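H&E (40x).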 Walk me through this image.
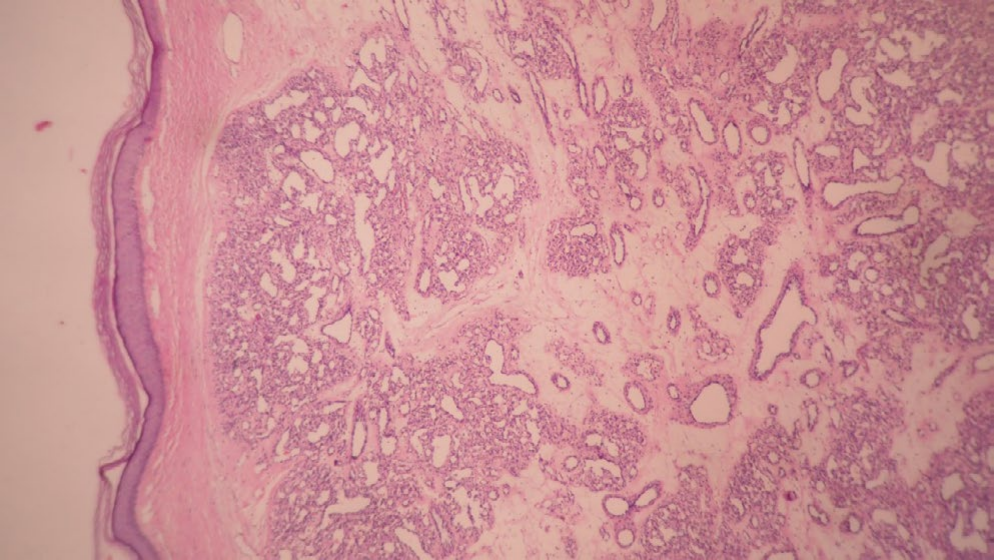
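This low-power view shows skin. At the left edge is a thin layer of stratified squamous epithelium. Beneath it lies a dense, pale pink band of dermal connective tissue. Deeper in the tissue, many small capillaries are gathered into crowded, lobule-like clusters. The capillary lumens vary widely in size and shape, from narrow round slits to larger, irregular, branching spaces. Between the clusters lies pale, loose, oedematous-looking stroma with only scattered cells, in contrast to the densely cellular vascular lobules, whose many purple nuclei belong to the cells lining and surrounding the vessels.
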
